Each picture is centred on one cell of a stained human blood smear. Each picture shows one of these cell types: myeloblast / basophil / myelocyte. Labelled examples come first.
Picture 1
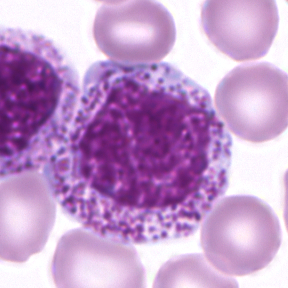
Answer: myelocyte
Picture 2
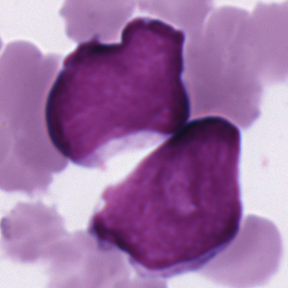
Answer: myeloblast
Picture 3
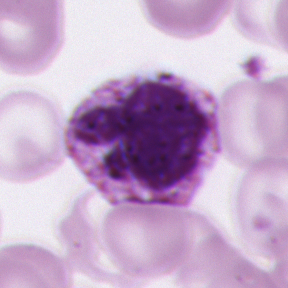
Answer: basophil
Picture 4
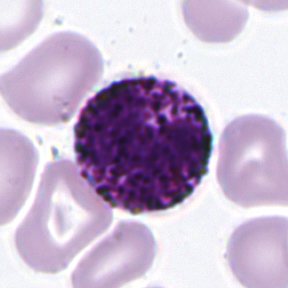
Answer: basophil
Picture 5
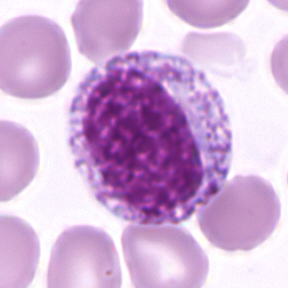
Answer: myelocyte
